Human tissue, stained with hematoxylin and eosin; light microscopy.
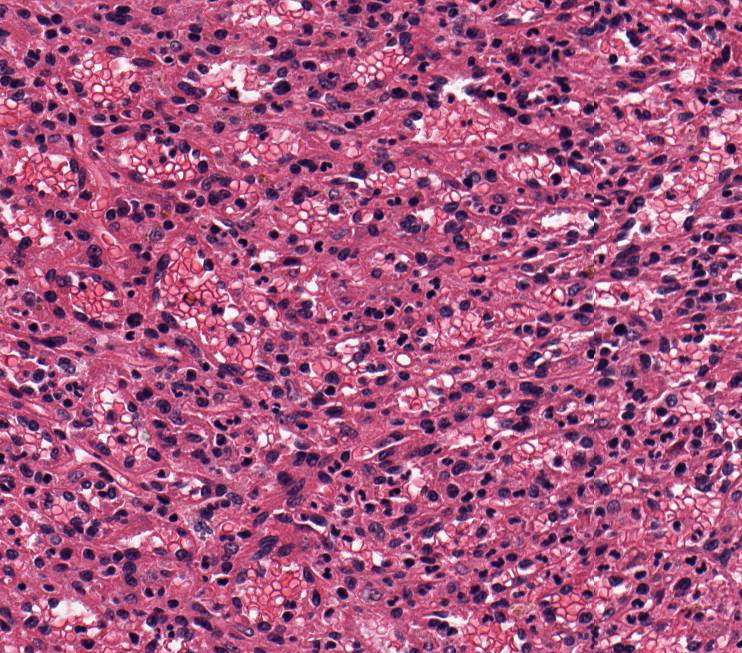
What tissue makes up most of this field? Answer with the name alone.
red pulp of the spleen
